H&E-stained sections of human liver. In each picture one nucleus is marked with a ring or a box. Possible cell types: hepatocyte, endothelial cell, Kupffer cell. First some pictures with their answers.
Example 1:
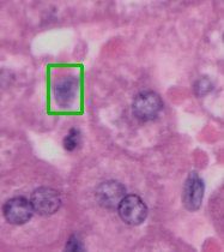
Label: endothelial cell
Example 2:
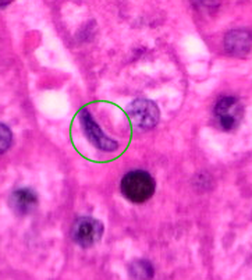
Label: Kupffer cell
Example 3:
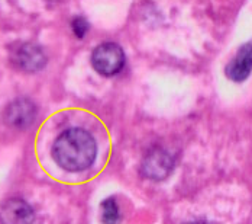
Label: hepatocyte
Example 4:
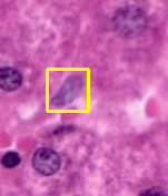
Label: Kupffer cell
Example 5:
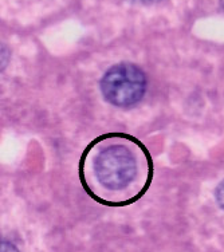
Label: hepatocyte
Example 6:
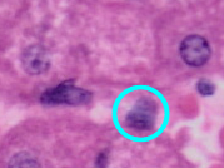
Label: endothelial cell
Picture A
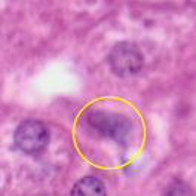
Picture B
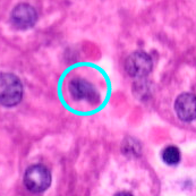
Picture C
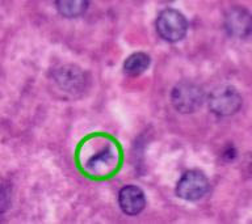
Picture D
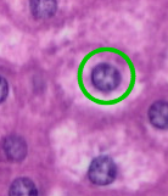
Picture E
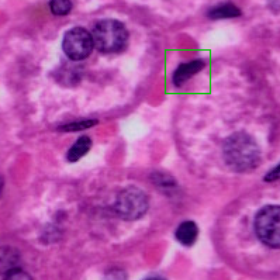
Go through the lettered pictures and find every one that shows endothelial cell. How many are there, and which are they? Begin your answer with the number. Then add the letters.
3: B, C, E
